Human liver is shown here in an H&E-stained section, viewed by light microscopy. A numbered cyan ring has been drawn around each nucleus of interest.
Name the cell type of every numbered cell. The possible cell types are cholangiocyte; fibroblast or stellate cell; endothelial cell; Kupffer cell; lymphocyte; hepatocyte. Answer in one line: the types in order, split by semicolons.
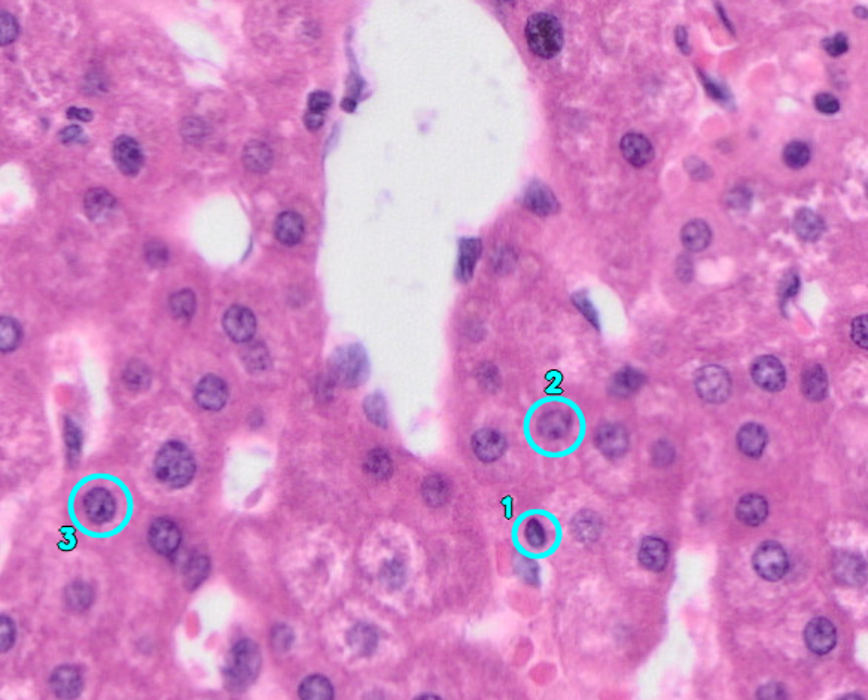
fibroblast or stellate cell; hepatocyte; hepatocyte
